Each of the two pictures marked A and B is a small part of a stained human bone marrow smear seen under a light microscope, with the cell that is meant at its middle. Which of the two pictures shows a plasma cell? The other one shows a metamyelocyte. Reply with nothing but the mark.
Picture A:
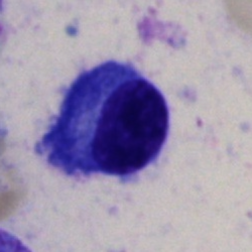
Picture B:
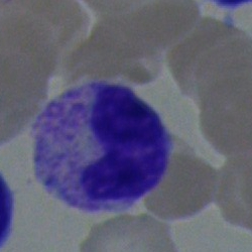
A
